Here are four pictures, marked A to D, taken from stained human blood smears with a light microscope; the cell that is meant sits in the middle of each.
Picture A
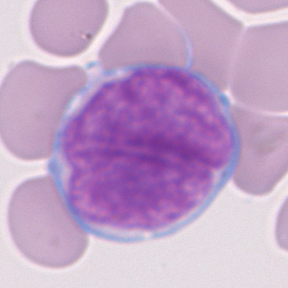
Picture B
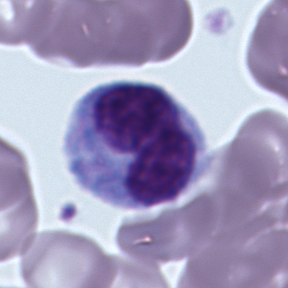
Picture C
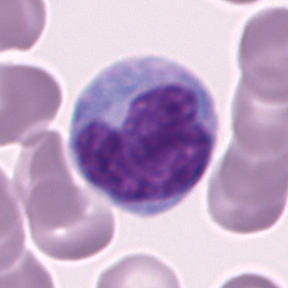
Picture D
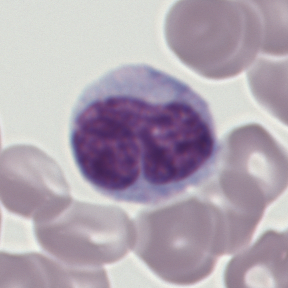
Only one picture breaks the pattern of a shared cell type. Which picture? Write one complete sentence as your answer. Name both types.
The others show monocytes, but picture A shows a myeloblast.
